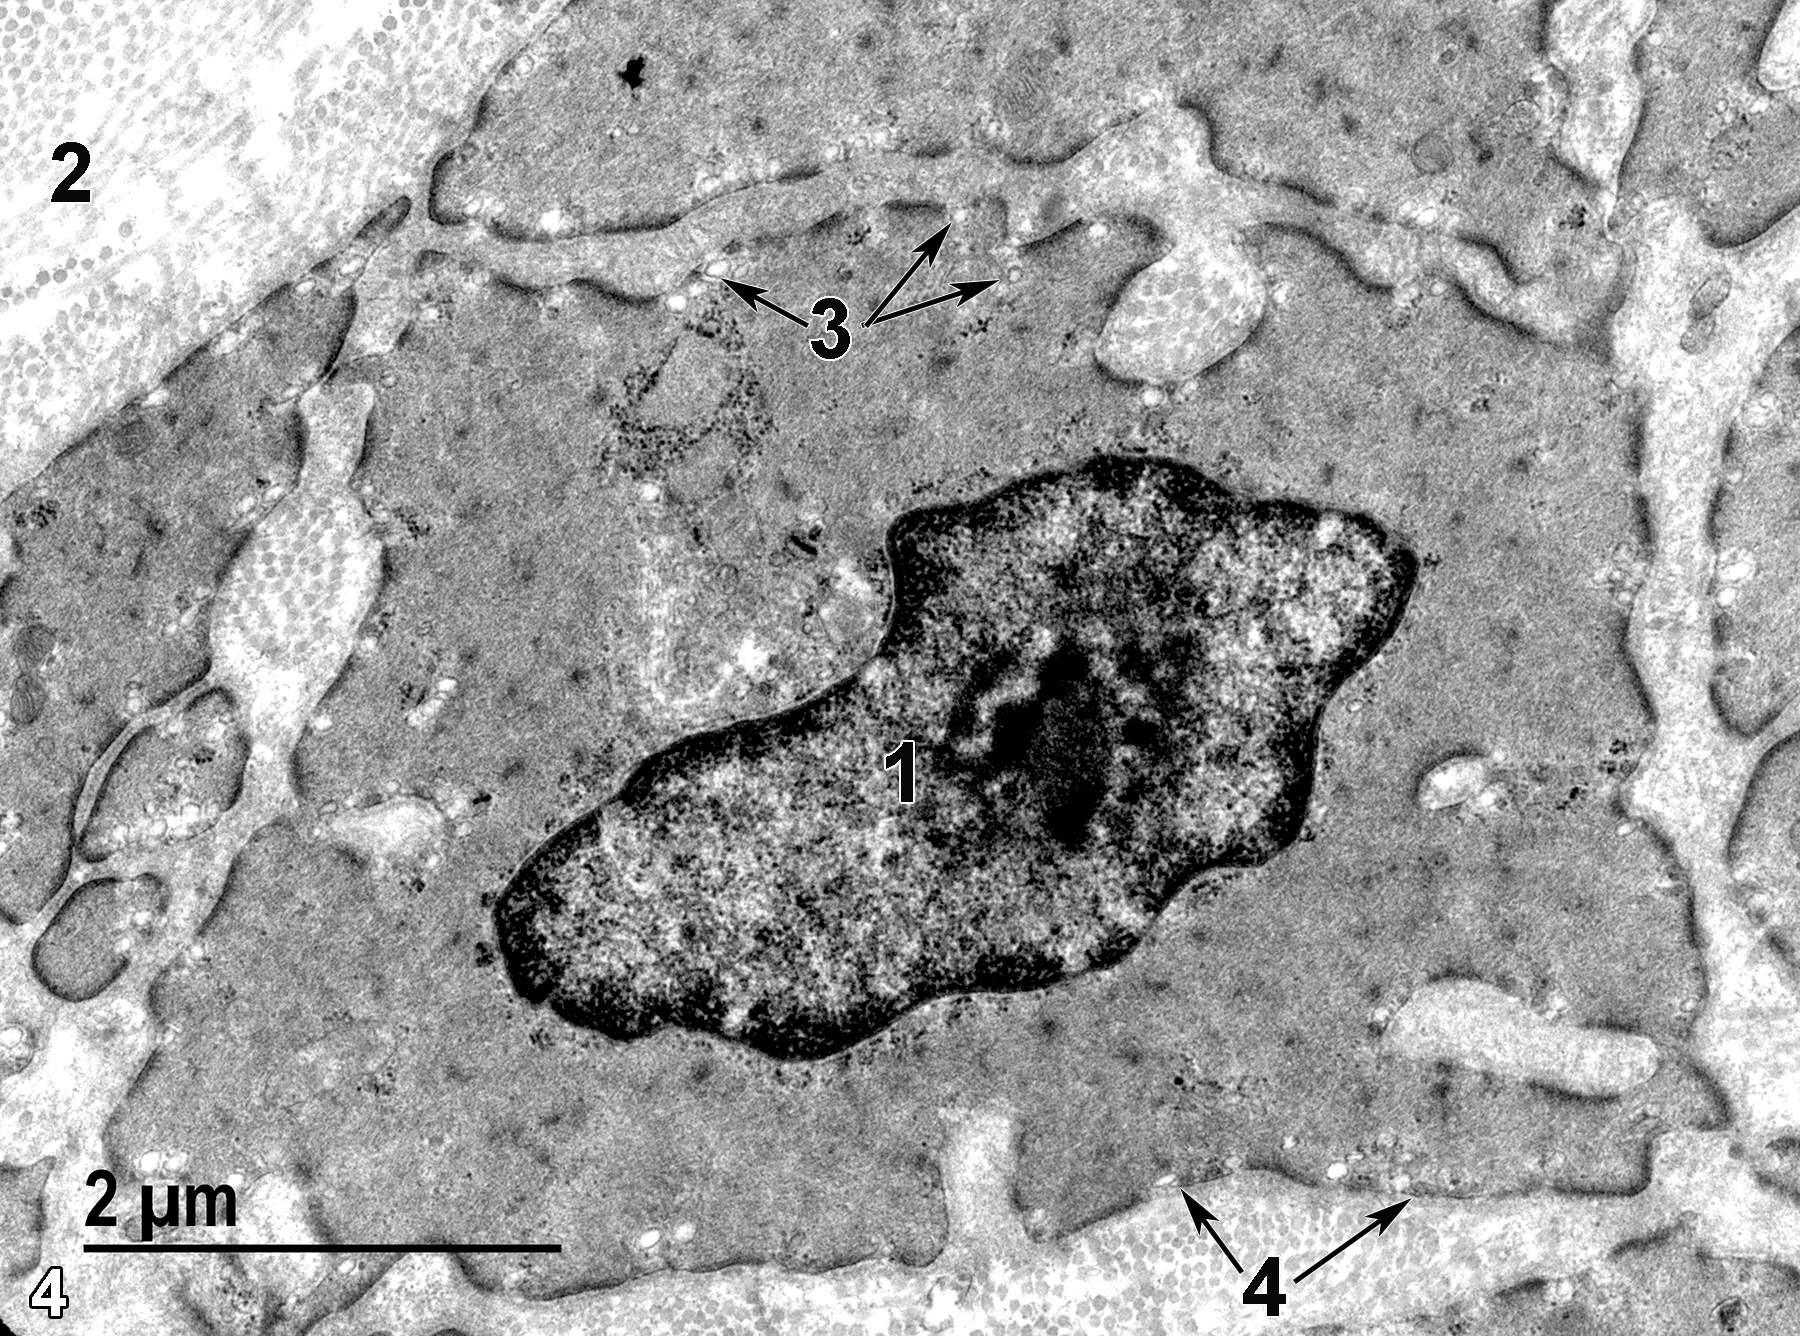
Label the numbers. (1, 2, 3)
1 nucleus
2 collagenous fibrils
3 micropinocytotic vesicles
